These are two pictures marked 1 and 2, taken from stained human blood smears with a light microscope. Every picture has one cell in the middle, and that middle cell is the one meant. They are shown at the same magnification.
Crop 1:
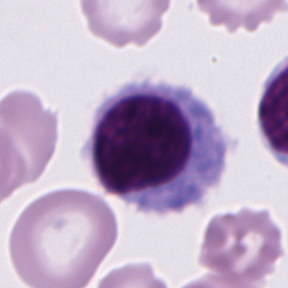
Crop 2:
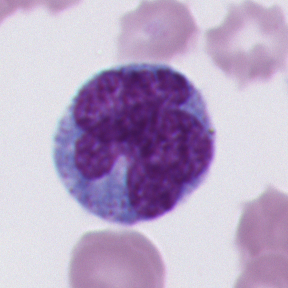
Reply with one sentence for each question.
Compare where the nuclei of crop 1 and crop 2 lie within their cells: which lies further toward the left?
It is the nucleus in crop 1 that lies further toward the left of its cell.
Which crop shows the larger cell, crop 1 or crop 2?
Crop 2 holds the larger cell; it covers about 1.5 times the area of the cell in crop 1.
